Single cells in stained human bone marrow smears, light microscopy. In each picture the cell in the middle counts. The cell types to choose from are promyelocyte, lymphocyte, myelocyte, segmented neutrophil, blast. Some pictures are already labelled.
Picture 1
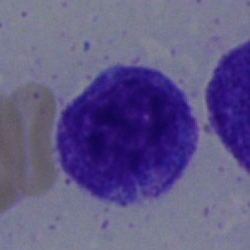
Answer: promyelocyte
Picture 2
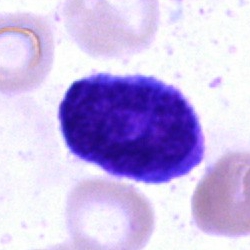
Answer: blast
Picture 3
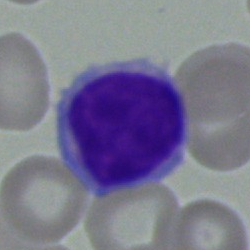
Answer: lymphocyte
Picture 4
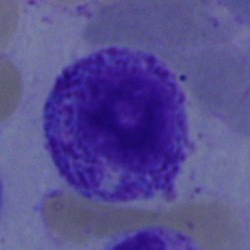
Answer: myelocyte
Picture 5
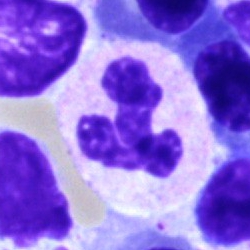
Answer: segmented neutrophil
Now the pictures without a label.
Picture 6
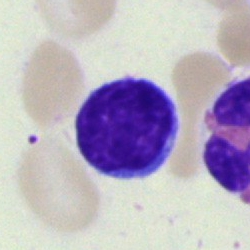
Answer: lymphocyte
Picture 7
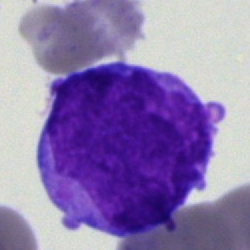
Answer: blast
